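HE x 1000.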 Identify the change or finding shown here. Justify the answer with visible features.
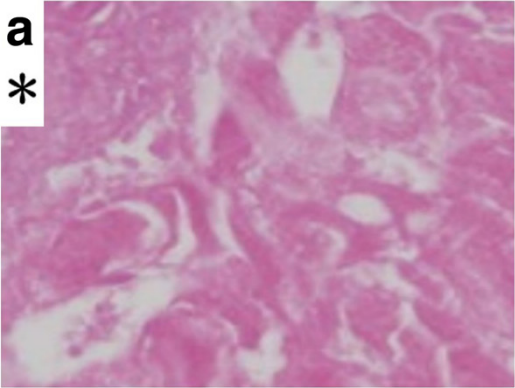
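Necrotic tissue. Uniformly pink, smudgy eosinophilic material. No intact nuclei can be made out. Cell outlines are lost.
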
